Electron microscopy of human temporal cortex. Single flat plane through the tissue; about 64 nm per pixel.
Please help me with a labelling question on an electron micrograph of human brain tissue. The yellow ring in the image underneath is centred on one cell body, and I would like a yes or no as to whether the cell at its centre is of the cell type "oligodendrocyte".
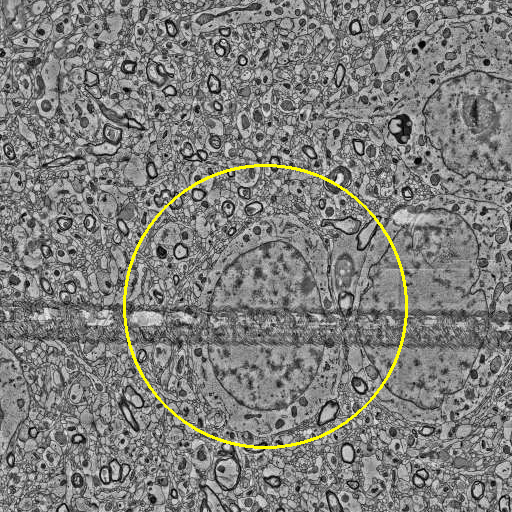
no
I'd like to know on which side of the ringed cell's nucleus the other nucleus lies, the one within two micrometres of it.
The other nucleus can be seen to the upper right of it.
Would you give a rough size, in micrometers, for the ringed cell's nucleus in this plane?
About 11 by 8 micrometers, in this plane.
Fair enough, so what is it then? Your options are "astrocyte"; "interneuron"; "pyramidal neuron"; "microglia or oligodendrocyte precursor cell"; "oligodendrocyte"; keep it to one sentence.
Instead, what sits at the centre of the ring is an interneuron.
